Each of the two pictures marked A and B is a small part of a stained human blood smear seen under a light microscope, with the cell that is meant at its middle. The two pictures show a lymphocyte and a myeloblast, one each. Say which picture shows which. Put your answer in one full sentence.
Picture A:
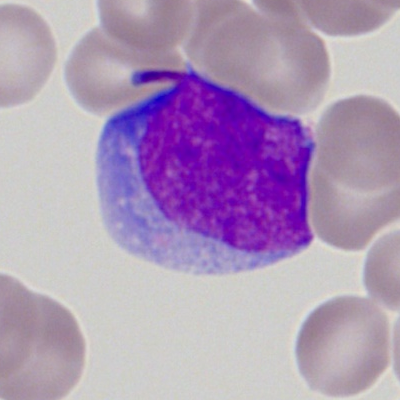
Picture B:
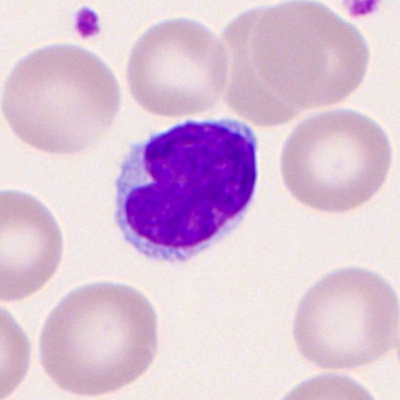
Picture B shows a lymphocyte, while picture A shows a myeloblast.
